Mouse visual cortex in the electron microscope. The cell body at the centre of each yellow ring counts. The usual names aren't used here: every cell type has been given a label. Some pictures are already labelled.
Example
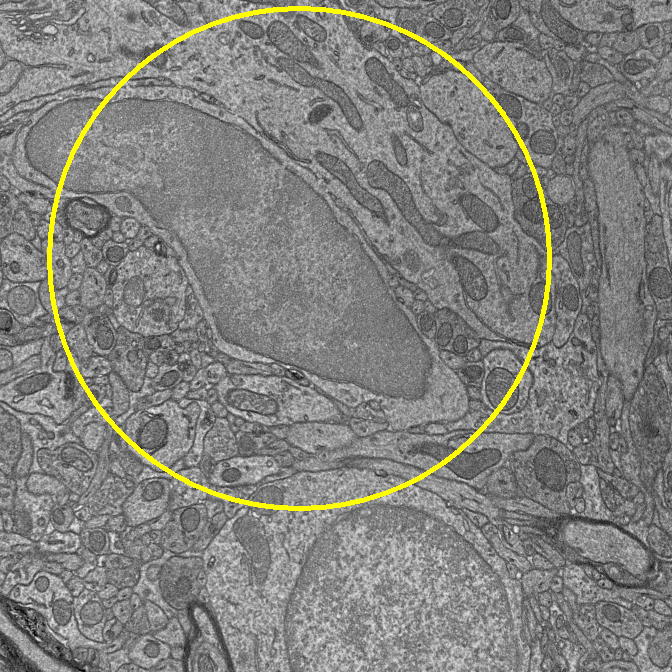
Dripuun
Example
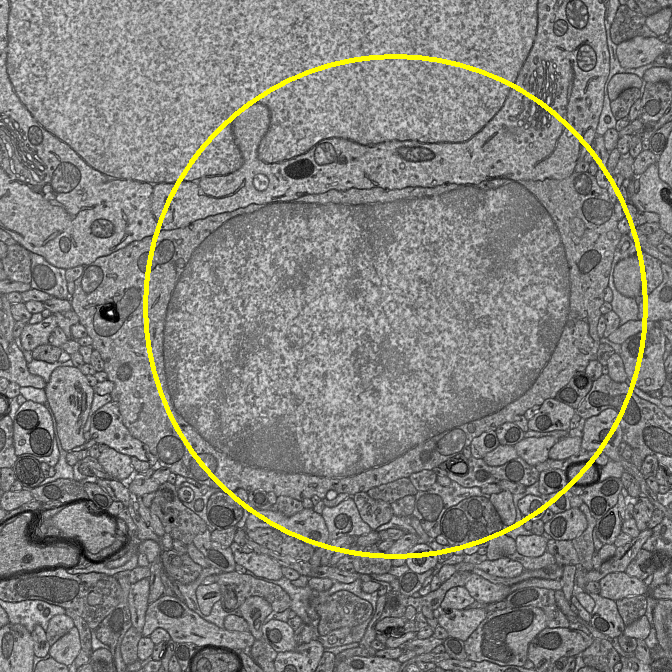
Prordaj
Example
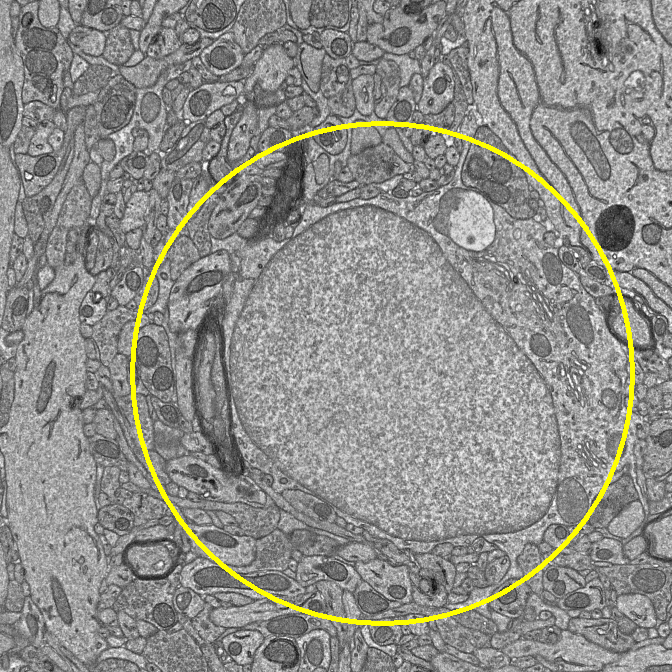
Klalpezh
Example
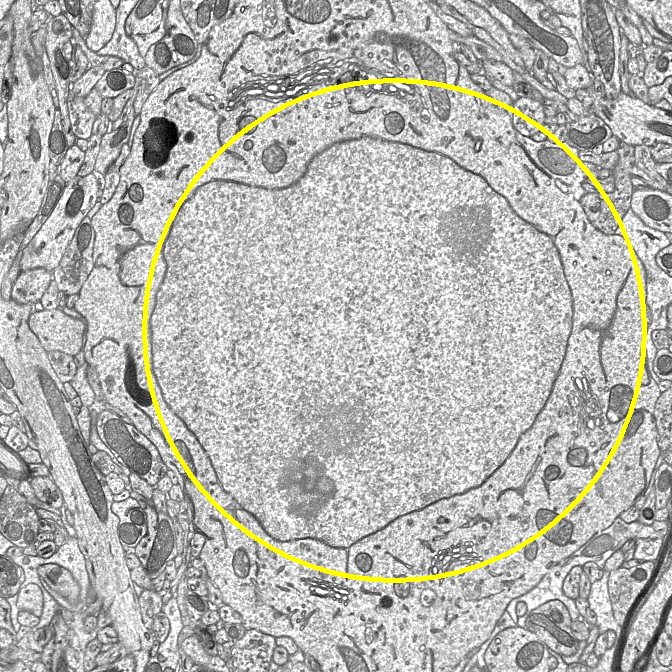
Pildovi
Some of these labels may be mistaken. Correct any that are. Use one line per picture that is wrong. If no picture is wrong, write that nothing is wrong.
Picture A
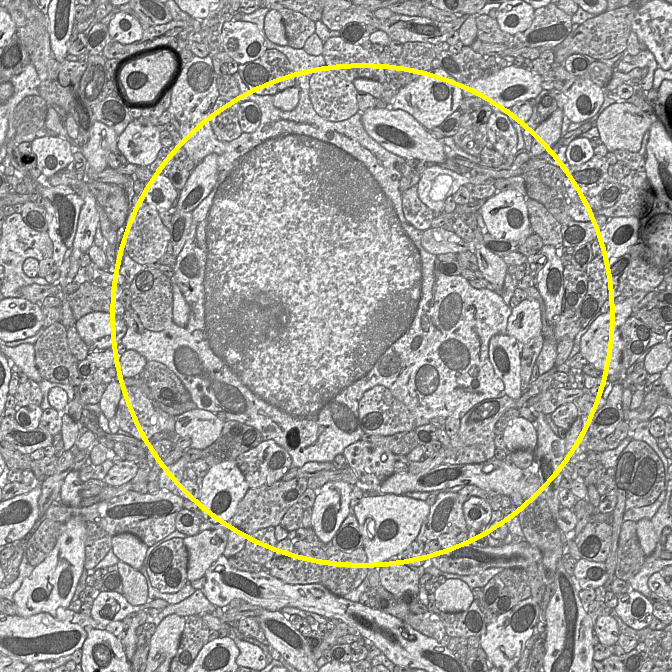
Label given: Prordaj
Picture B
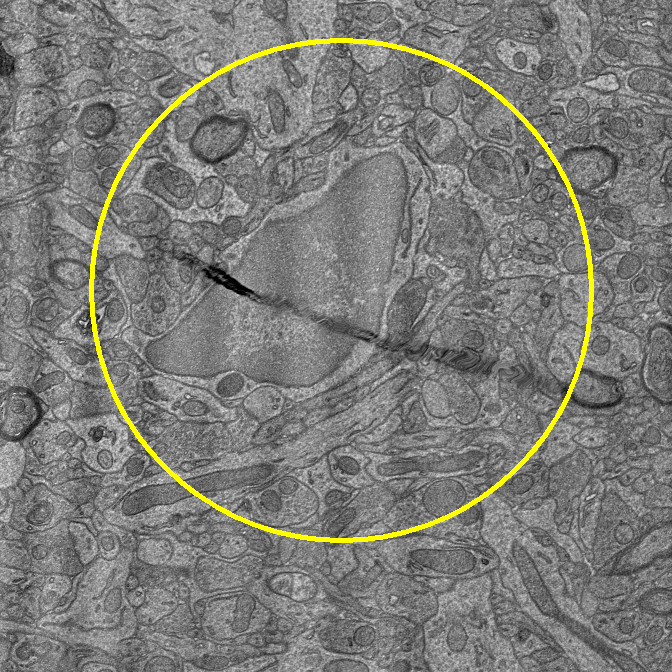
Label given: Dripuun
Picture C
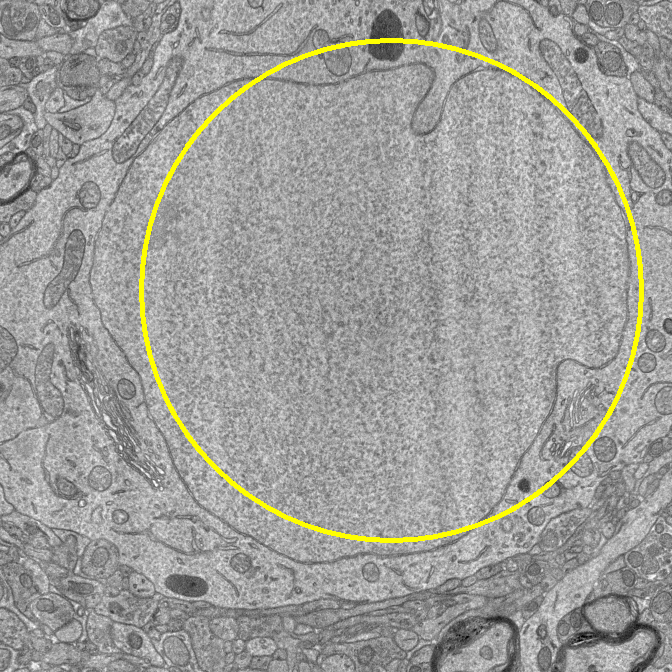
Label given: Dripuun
A: not Prordaj but Klalpezh
C: not Dripuun but Pildovi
